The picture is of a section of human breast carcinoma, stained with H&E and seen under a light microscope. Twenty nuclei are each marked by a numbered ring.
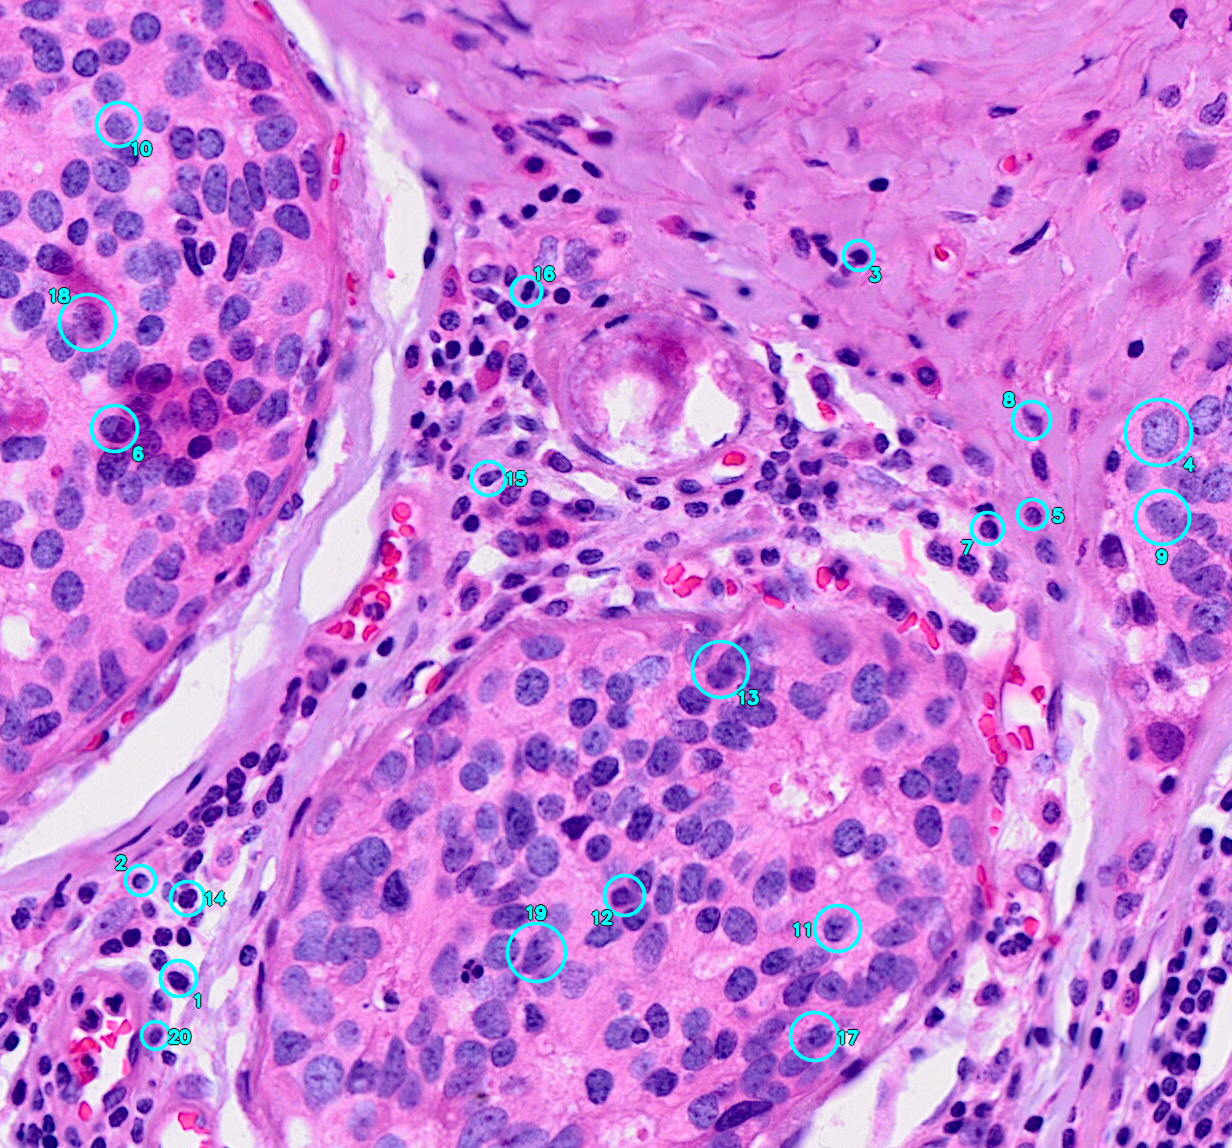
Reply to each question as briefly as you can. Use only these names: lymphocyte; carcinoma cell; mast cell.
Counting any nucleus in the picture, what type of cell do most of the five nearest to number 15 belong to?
mast cell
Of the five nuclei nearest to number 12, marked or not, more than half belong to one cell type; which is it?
carcinoma cell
